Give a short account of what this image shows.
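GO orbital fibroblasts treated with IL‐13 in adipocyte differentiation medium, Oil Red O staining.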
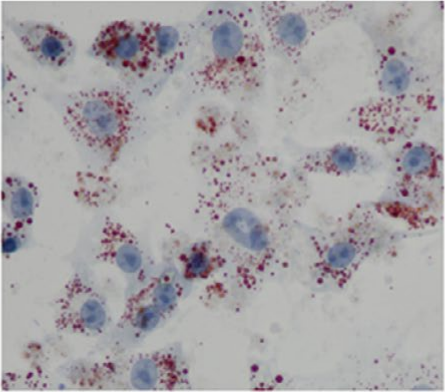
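The cells are flattened and irregular, with pale blue-grey cytoplasm and oval blue nuclei. Numerous small round red droplets gather around the nuclei and spread through the cytoplasm, in some cells forming dense clusters. The droplets differ in size, a few larger and deeper red than the rest. Neighbouring cells lie close together and their borders are often hard to make out.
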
